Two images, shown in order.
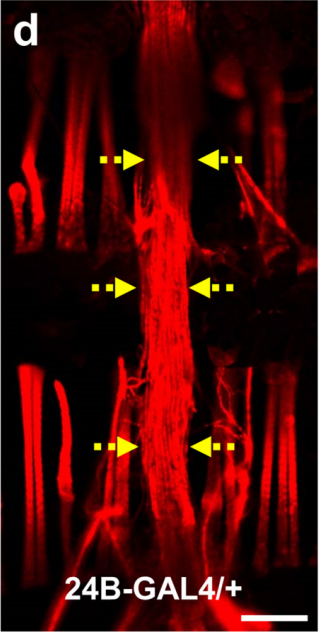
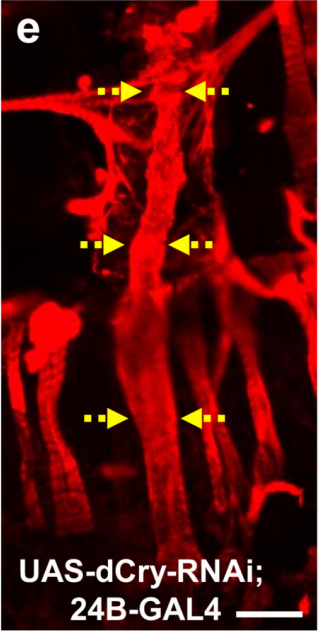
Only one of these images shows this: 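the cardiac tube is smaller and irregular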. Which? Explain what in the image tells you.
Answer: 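Second image: the central tube is narrow with an uneven, lumpy outline and no orderly fibre pattern. First image: the central tube is broad and straight, with regular fine fibres along its length.
Hence: the second image.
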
